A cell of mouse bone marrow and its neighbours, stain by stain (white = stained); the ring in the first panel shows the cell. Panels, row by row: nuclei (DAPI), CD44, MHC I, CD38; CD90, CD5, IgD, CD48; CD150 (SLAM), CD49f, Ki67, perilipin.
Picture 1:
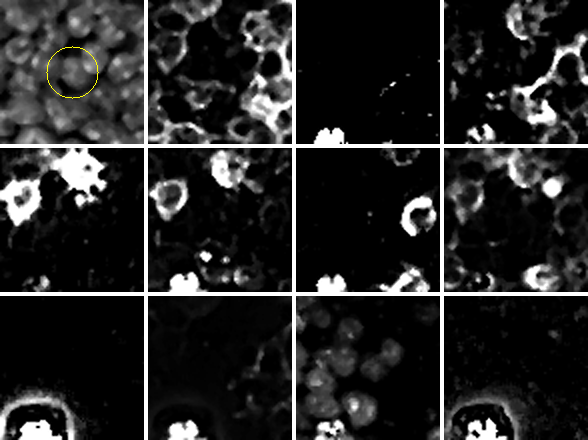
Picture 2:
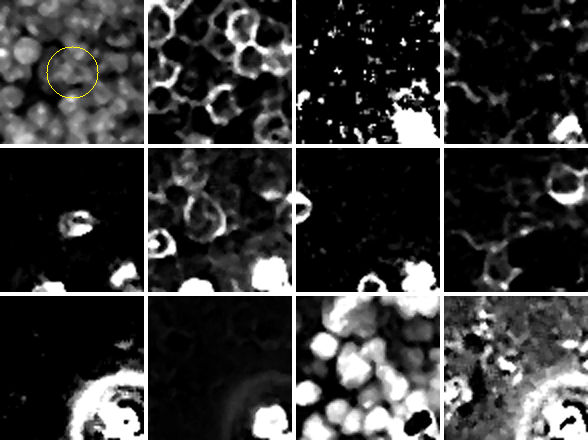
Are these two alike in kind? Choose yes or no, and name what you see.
No. First an erythroblast, second a T cell.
